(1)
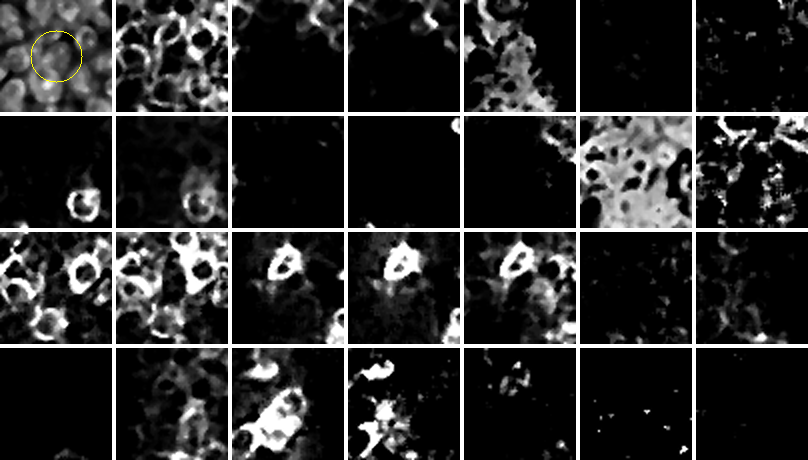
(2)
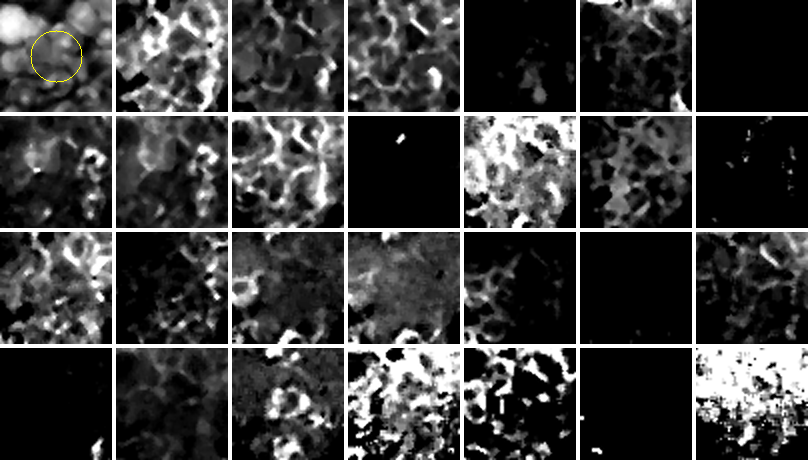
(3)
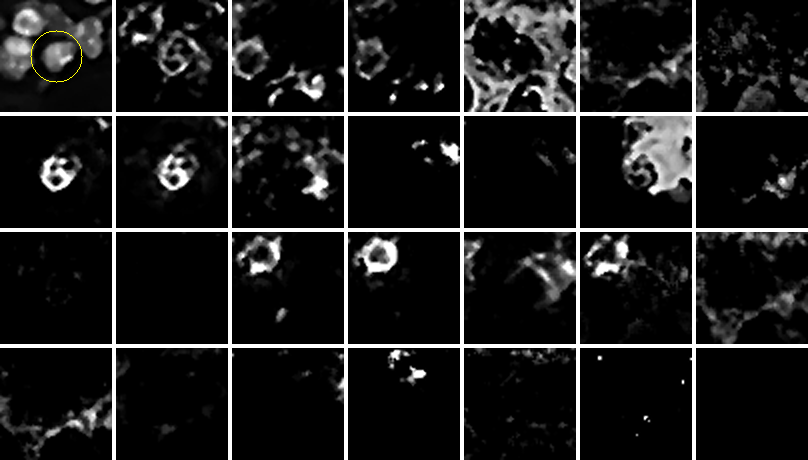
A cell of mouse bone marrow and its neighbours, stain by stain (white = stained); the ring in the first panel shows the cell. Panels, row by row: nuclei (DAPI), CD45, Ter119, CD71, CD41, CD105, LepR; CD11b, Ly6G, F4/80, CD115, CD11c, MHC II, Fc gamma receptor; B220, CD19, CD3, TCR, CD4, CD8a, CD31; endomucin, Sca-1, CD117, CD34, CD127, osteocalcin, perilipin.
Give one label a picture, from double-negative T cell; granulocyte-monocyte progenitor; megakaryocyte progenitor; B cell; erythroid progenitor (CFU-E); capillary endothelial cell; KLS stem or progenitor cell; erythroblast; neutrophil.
1. megakaryocyte progenitor
2. erythroid progenitor (CFU-E)
3. neutrophil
